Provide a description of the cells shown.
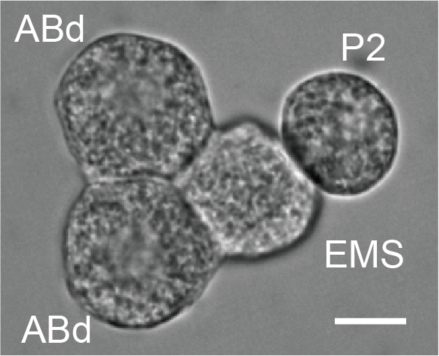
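This is a four-cell nematode embryo without its eggshell, seen in transmitted light. The cells are not packed as in a shell but lie in a loose, branched arrangement: two large rounded cells sit one above the other on the left. A middle cell of angular outline touches both of them, and a small round cell lies beyond it at the right. The small cell touches the middle cell only at a narrow contact and looks almost spherical. All cells have granular cytoplasm, and pale nuclei are visible in the large left cells.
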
